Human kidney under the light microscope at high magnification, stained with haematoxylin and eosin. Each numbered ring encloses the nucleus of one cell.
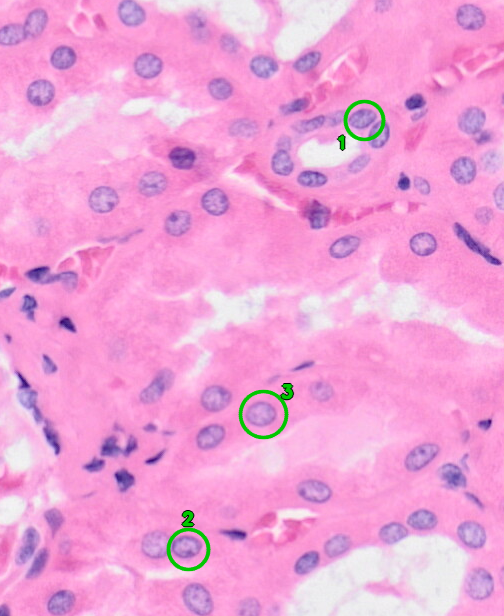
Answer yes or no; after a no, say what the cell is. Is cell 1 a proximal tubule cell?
No, it is a collecting duct cell.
